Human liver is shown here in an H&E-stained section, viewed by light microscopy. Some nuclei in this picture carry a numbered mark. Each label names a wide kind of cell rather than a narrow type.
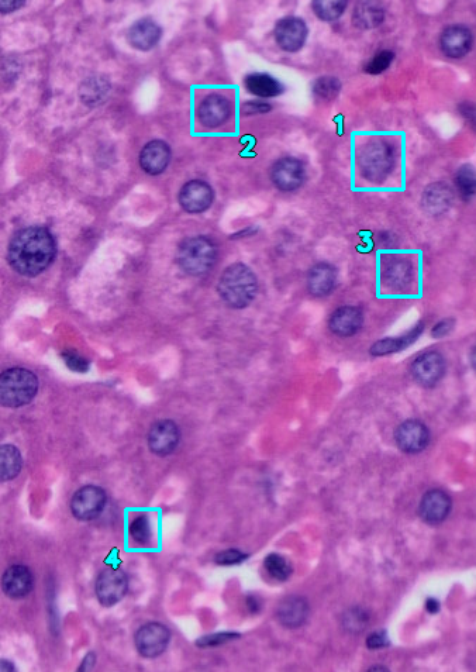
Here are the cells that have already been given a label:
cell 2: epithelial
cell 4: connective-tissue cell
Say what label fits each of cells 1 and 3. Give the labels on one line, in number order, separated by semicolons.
epithelial; epithelial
